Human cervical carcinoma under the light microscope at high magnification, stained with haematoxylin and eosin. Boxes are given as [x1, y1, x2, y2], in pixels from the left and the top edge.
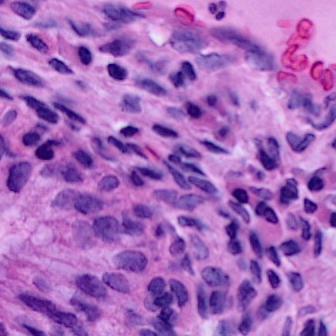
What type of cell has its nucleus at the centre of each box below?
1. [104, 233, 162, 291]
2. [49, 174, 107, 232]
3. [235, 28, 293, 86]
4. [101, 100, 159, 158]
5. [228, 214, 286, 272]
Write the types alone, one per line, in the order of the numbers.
secretory epithelial cell
secretory epithelial cell
endothelial cell
lymphocyte
fibroblast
